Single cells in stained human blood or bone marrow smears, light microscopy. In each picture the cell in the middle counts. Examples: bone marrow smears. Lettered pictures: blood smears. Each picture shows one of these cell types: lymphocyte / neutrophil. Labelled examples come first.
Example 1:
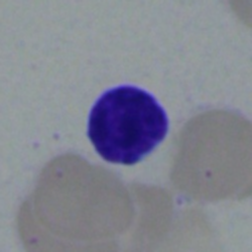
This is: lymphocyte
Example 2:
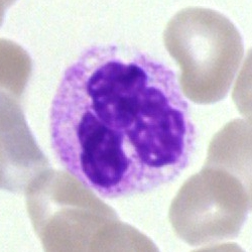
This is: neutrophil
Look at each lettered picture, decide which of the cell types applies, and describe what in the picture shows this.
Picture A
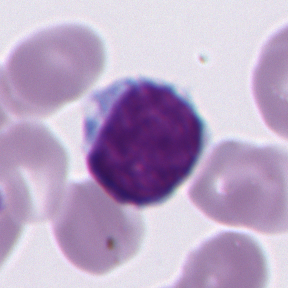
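Answer: lymphocyte. The cytoplasm is a scanty pale blue rim.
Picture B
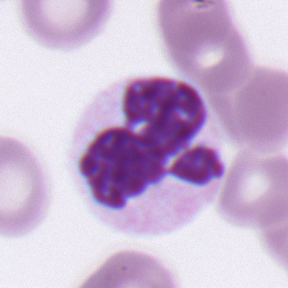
Answer: neutrophil. The nucleus is divided into three lobes.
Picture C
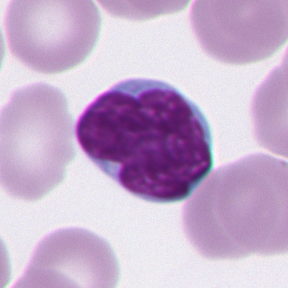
Answer: lymphocyte. The cytoplasm forms only a thin rim around the nucleus.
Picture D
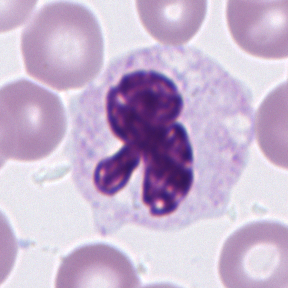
Answer: neutrophil. The cytoplasm is plentiful and pale lilac-grey.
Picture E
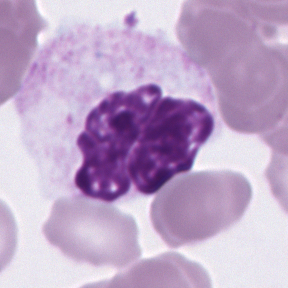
Answer: neutrophil. The cytoplasm is abundant and very pale lilac.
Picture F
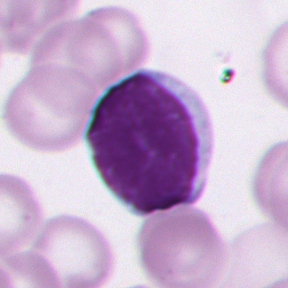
Answer: lymphocyte. The cytoplasm forms a thin crescent mainly along the right side of the cell.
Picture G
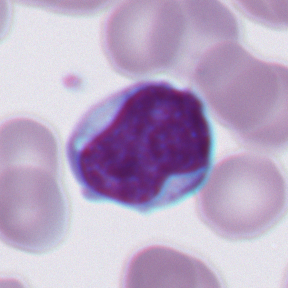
Answer: lymphocyte. The cytoplasm is a narrow rim, widest at the left and lower right.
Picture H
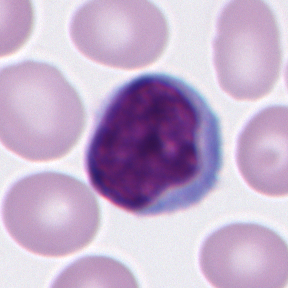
Answer: lymphocyte. The cytoplasm forms a thin rim that is widest on the right side of the cell.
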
